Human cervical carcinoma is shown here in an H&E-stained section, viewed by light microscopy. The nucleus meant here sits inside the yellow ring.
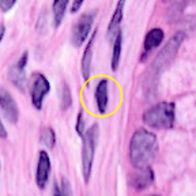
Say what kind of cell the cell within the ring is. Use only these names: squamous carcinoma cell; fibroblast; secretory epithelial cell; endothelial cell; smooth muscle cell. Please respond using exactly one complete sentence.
In this section of tissue, the cell within the ring is a fibroblast.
